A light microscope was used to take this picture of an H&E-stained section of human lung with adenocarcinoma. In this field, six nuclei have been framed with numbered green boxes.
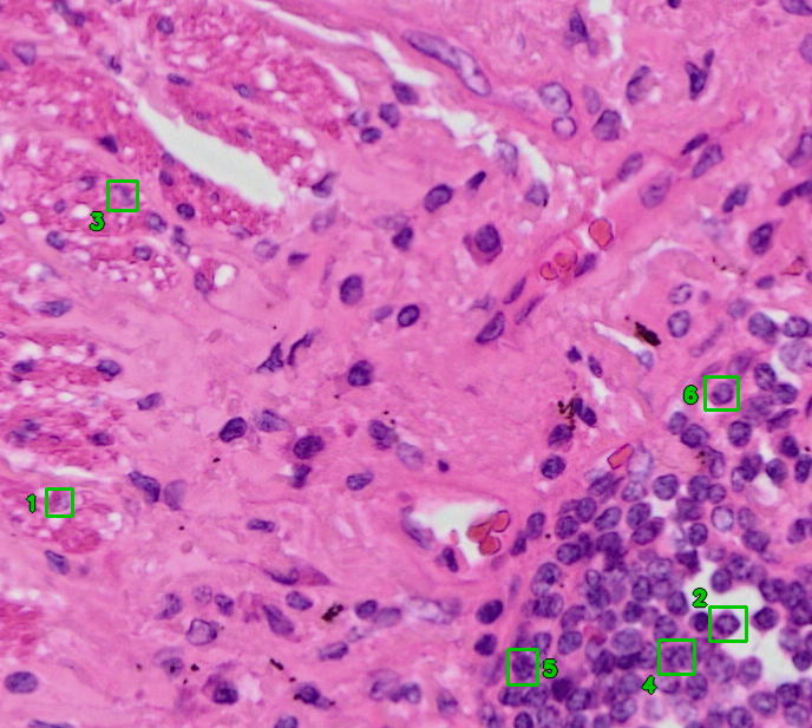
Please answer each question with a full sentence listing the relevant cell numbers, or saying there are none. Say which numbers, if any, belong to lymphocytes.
Identification: the cells with numbers 2, 4, 5 and 6 are lymphocytes.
